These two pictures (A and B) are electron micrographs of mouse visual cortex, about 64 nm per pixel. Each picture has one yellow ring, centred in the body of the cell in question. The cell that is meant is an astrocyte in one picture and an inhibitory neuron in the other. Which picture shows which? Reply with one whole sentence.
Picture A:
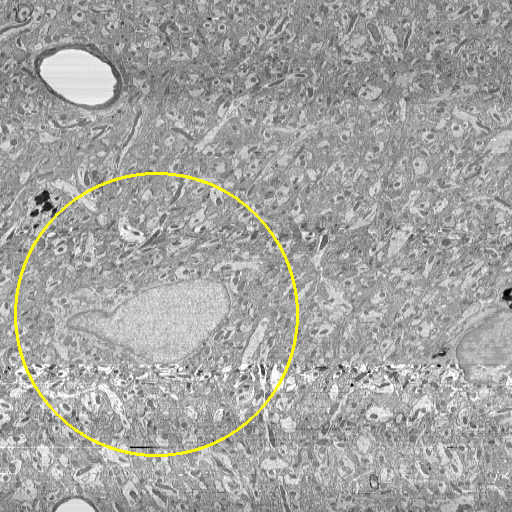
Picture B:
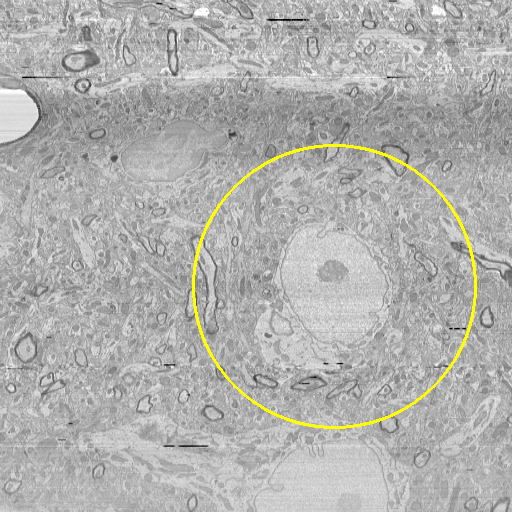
The cell in picture A is an astrocyte, and the one in picture B is an inhibitory neuron.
